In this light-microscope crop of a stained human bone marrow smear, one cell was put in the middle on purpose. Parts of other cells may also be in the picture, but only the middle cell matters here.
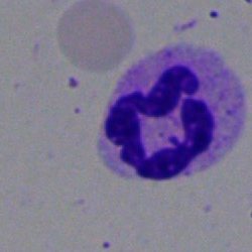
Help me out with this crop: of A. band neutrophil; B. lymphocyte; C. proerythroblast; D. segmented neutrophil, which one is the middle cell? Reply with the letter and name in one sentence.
The right choice is option D: the cell in the middle is a segmented neutrophil.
